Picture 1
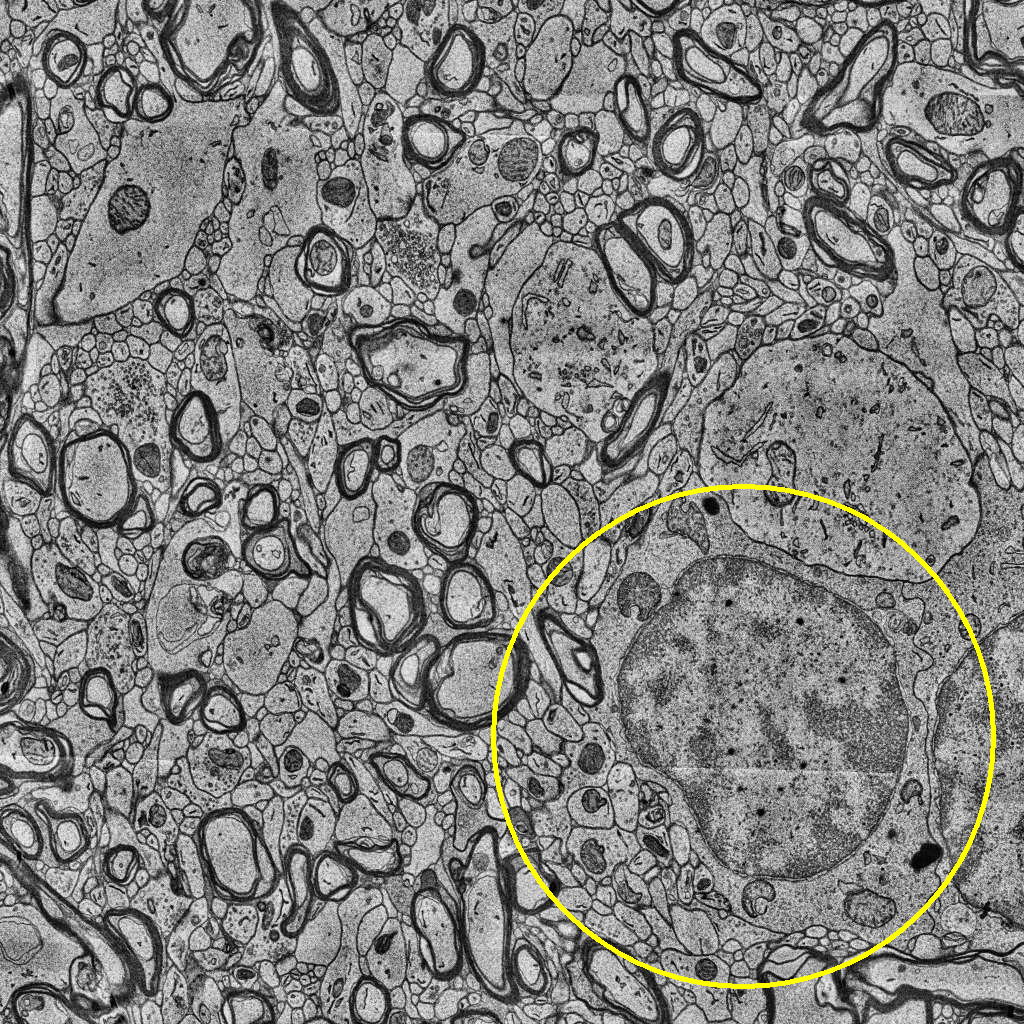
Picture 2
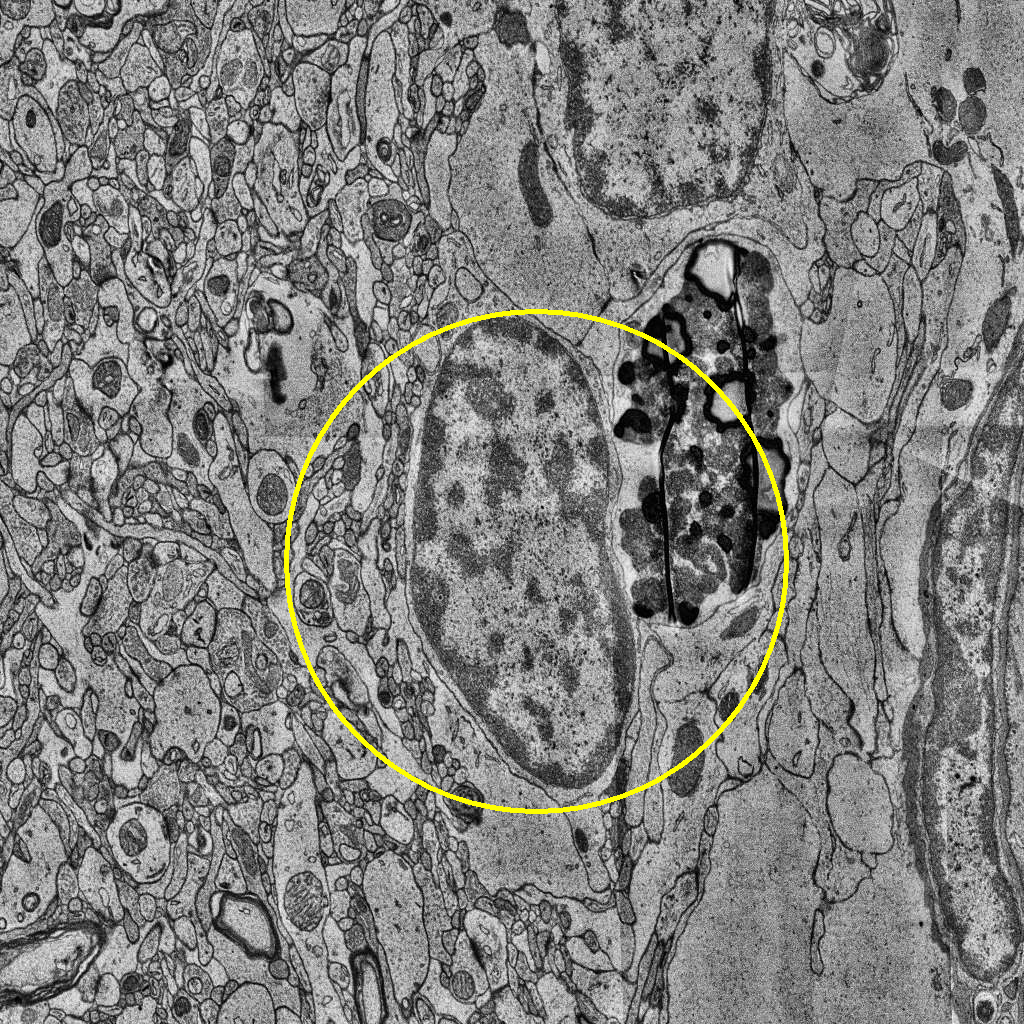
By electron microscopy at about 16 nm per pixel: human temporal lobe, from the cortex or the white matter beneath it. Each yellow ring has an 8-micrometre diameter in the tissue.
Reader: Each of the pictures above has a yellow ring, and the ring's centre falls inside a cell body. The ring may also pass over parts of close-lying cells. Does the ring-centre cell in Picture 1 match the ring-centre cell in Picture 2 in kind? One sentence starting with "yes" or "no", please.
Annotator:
No, Picture 1 and Picture 2 show ring-centre cells of two kinds.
